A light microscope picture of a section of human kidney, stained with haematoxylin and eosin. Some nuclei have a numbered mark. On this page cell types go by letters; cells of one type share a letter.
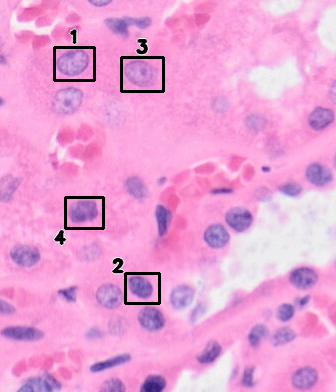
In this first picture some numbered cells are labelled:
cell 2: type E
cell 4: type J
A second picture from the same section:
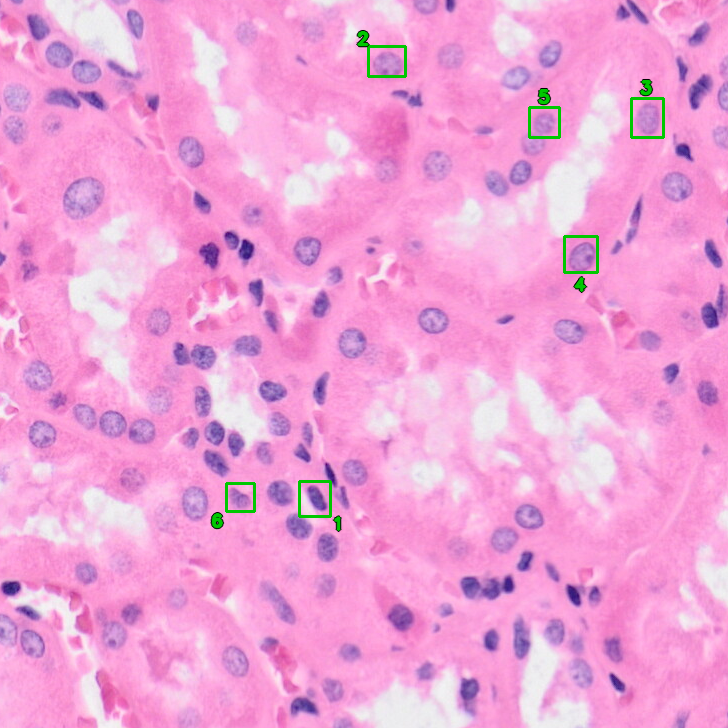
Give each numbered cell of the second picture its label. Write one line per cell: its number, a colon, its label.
1: type E
2: type J
3: type J
4: type J
5: type J
6: type E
